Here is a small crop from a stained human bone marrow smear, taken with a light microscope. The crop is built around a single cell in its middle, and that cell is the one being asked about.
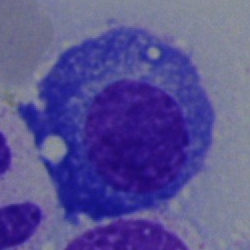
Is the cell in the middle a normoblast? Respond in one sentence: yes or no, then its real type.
No, the cell at the centre is identified as a plasma cell, not as a normoblast.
